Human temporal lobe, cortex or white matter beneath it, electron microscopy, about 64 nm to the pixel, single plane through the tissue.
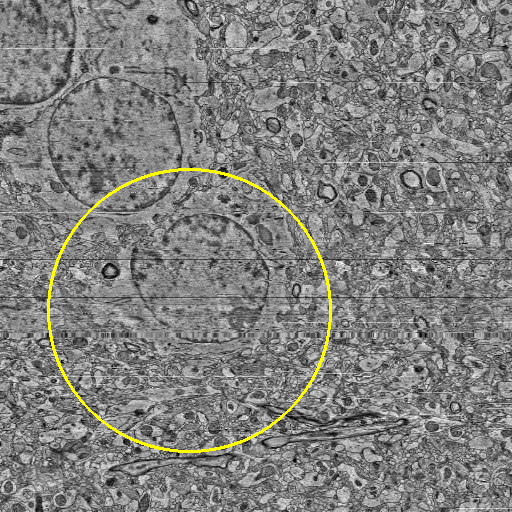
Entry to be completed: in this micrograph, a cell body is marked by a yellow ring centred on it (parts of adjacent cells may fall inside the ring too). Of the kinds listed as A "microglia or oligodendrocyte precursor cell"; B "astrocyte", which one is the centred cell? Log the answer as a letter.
B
